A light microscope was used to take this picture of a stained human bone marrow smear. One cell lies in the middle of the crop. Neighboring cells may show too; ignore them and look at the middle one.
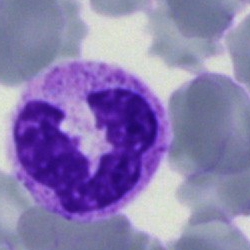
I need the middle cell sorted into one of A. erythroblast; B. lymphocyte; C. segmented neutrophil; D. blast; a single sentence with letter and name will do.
The cell right in the middle is a segmented neutrophil, so option C is the one.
